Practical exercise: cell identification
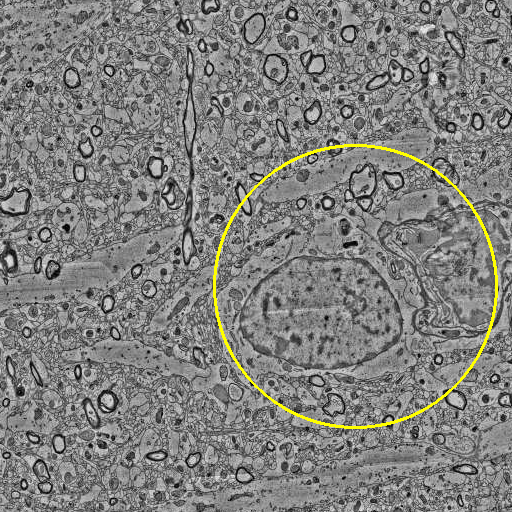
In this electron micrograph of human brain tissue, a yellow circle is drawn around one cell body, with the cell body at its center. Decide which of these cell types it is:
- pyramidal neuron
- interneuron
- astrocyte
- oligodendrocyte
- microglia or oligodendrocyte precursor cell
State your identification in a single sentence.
The ringed cell is a microglial cell or oligodendrocyte precursor cell.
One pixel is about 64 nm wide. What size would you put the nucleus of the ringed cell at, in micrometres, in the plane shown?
Roughly 10 micrometres by 7 micrometres, in this plane.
